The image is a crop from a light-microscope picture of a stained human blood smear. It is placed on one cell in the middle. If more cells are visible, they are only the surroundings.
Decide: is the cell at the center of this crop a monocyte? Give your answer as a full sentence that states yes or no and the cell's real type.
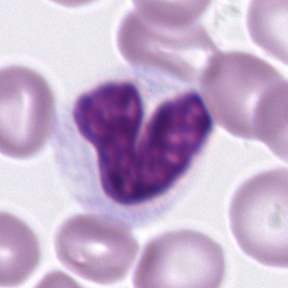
No, the middle of this crop is occupied by a band neutrophil rather than a monocyte.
